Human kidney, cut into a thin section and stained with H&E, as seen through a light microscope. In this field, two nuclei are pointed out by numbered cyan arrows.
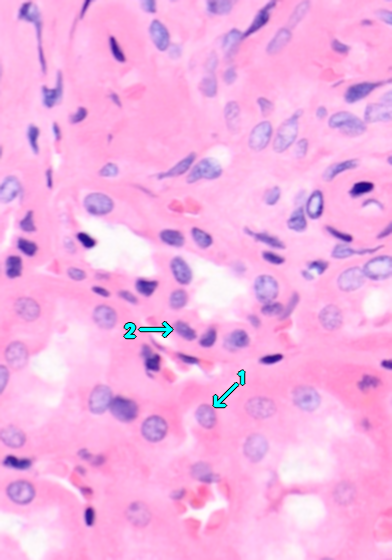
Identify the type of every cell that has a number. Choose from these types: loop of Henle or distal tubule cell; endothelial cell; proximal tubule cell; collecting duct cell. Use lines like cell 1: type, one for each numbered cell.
cell 1: proximal tubule cell
cell 2: collecting duct cell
